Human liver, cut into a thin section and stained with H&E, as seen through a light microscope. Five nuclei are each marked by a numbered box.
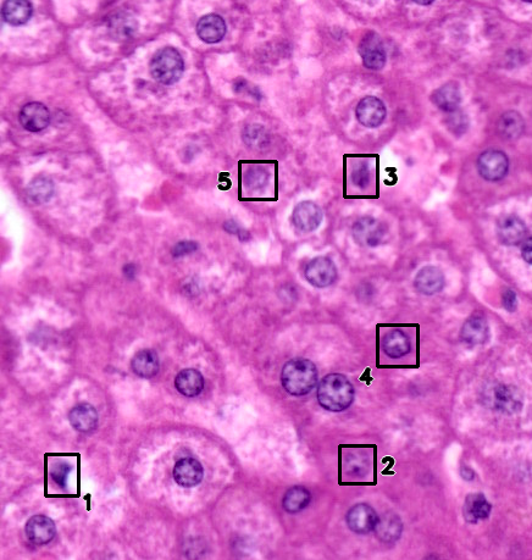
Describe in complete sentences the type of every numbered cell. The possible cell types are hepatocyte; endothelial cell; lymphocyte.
Cells 1 and 3 are endothelial cells. Cells 2, 4 and 5 are hepatocytes.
